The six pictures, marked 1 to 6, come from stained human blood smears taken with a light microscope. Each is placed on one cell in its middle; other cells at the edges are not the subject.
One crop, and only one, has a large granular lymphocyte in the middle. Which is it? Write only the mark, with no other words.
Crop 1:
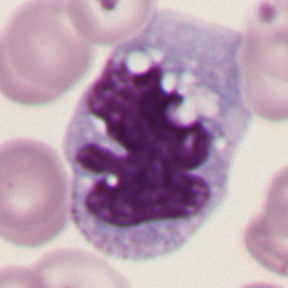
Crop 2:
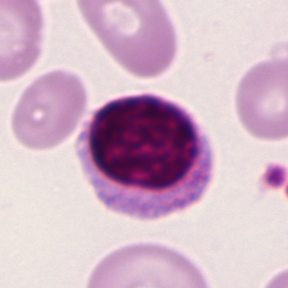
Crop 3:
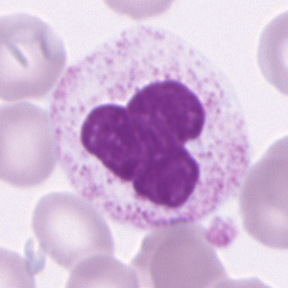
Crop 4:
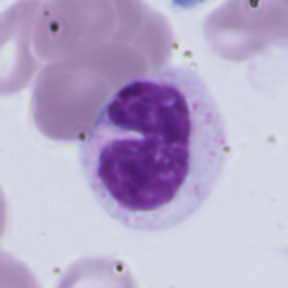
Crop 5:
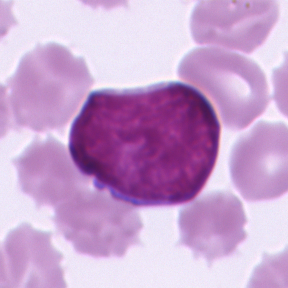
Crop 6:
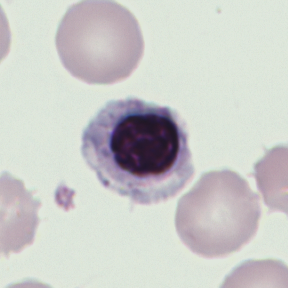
2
